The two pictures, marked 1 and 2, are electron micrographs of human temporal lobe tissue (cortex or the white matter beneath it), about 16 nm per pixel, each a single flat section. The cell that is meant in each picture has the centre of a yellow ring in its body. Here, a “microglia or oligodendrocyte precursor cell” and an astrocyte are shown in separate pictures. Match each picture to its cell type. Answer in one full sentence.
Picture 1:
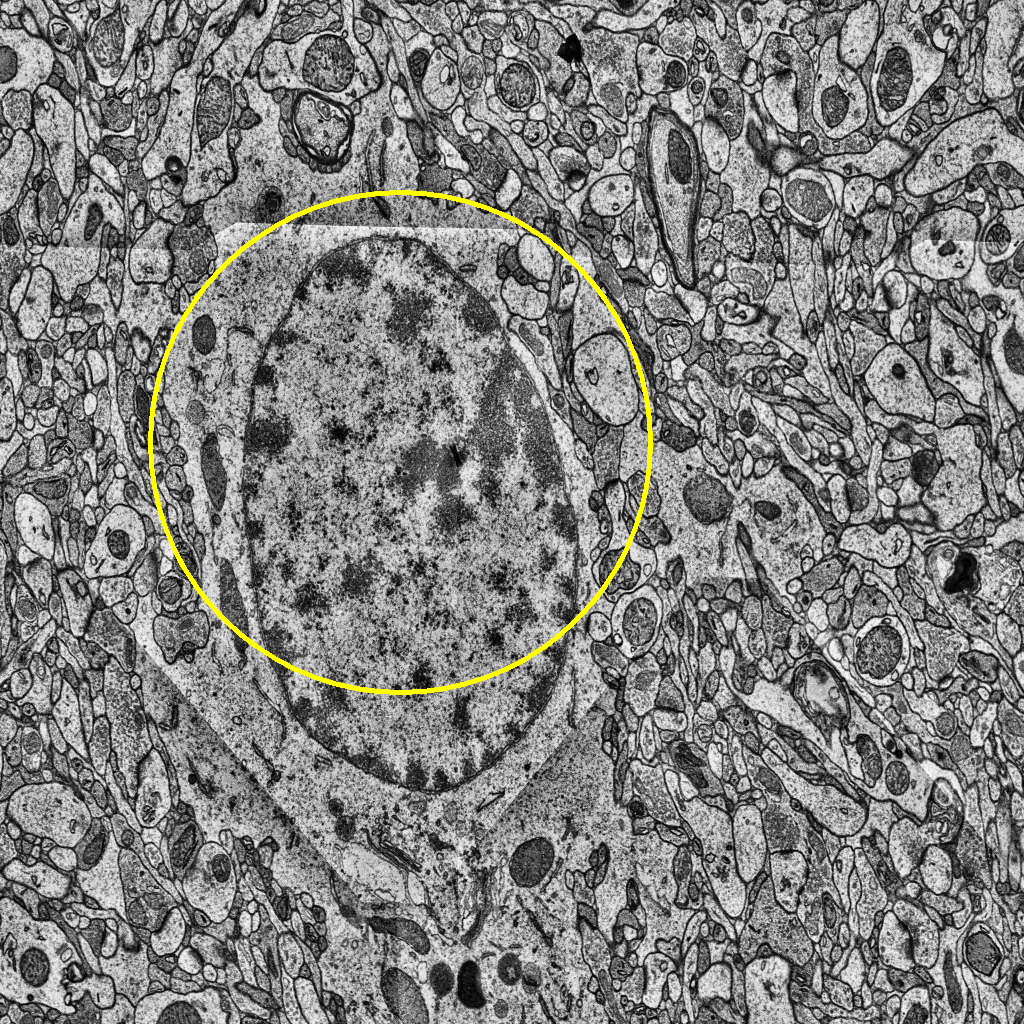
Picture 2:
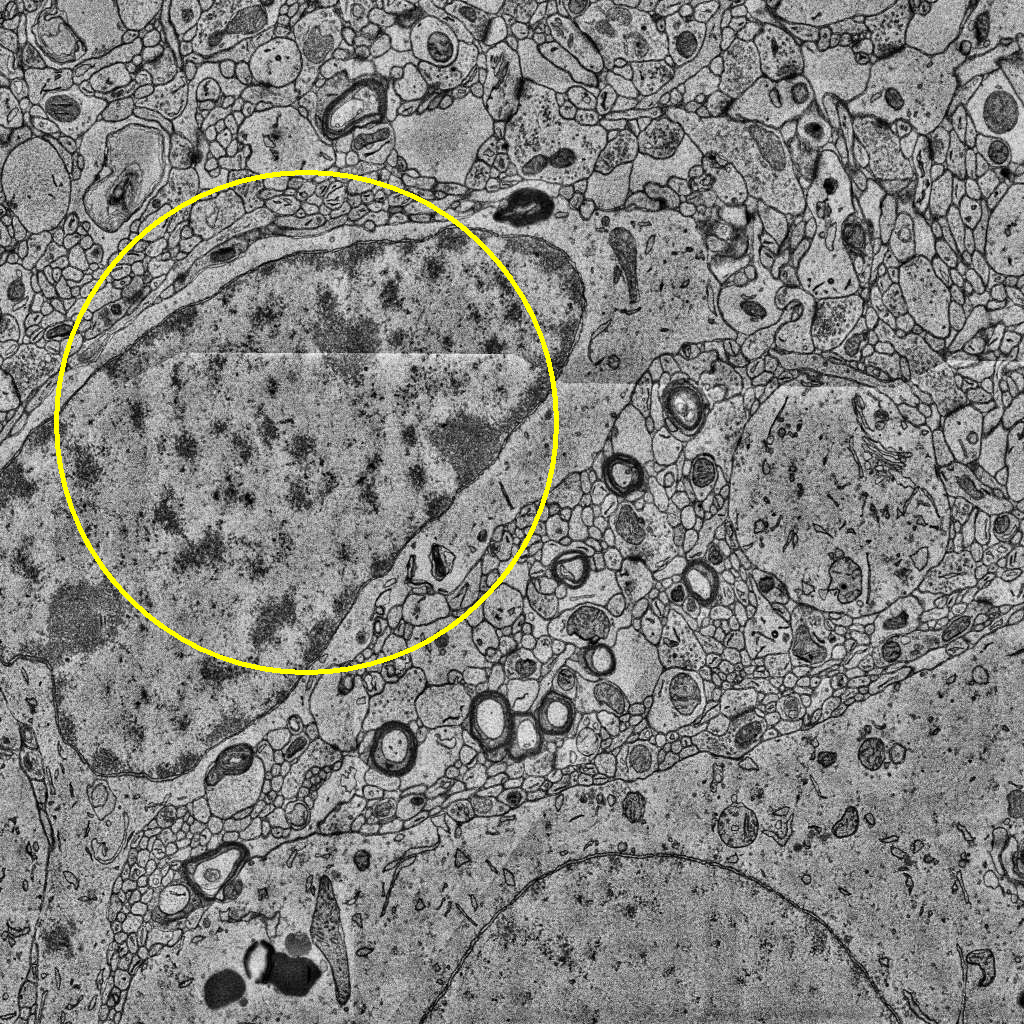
Picture 2 shows a “microglia or oligodendrocyte precursor cell”, while picture 1 shows an astrocyte.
